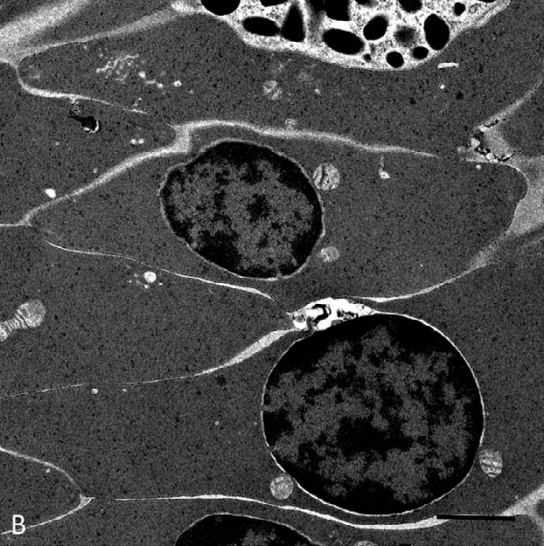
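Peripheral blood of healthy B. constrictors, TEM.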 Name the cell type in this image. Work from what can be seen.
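Erythrocytes. Elongated cells with evenly dark cytoplasm lie packed side by side.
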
